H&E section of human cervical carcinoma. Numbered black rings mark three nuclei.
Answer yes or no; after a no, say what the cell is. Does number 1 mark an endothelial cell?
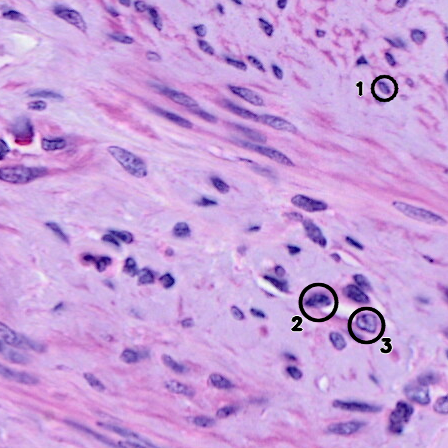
No, it is a smooth muscle cell.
